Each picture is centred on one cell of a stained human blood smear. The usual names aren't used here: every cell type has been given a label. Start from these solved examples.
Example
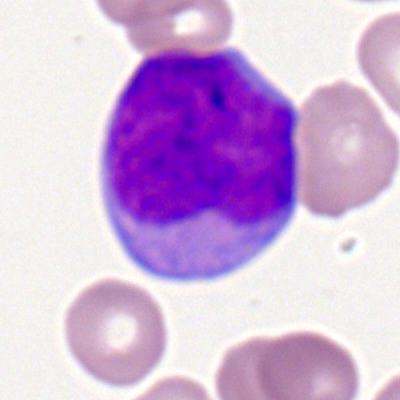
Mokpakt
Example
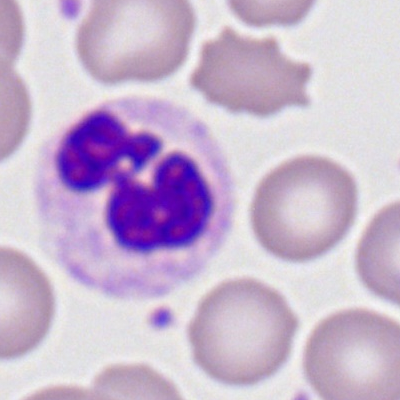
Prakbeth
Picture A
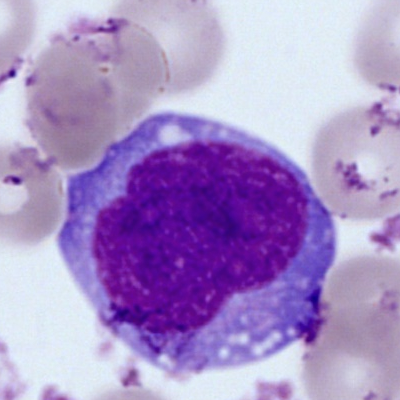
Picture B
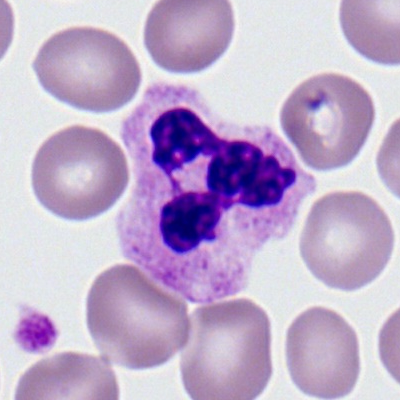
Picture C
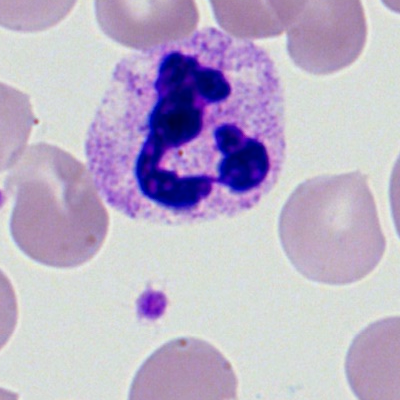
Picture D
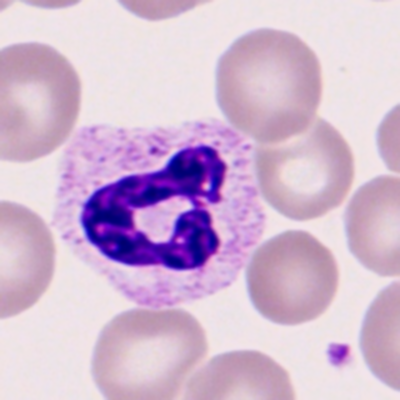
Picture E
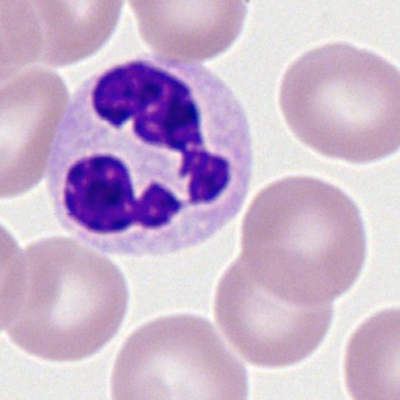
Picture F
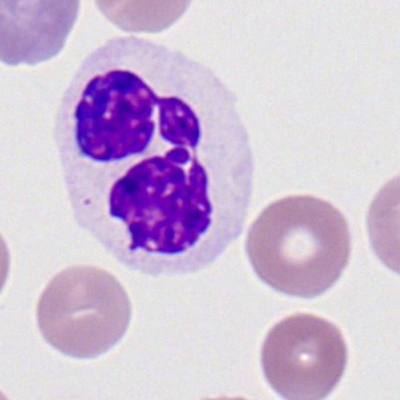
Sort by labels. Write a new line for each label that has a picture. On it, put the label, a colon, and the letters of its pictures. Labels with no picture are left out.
Mokpakt: A
Prakbeth: B, C, D, E, F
